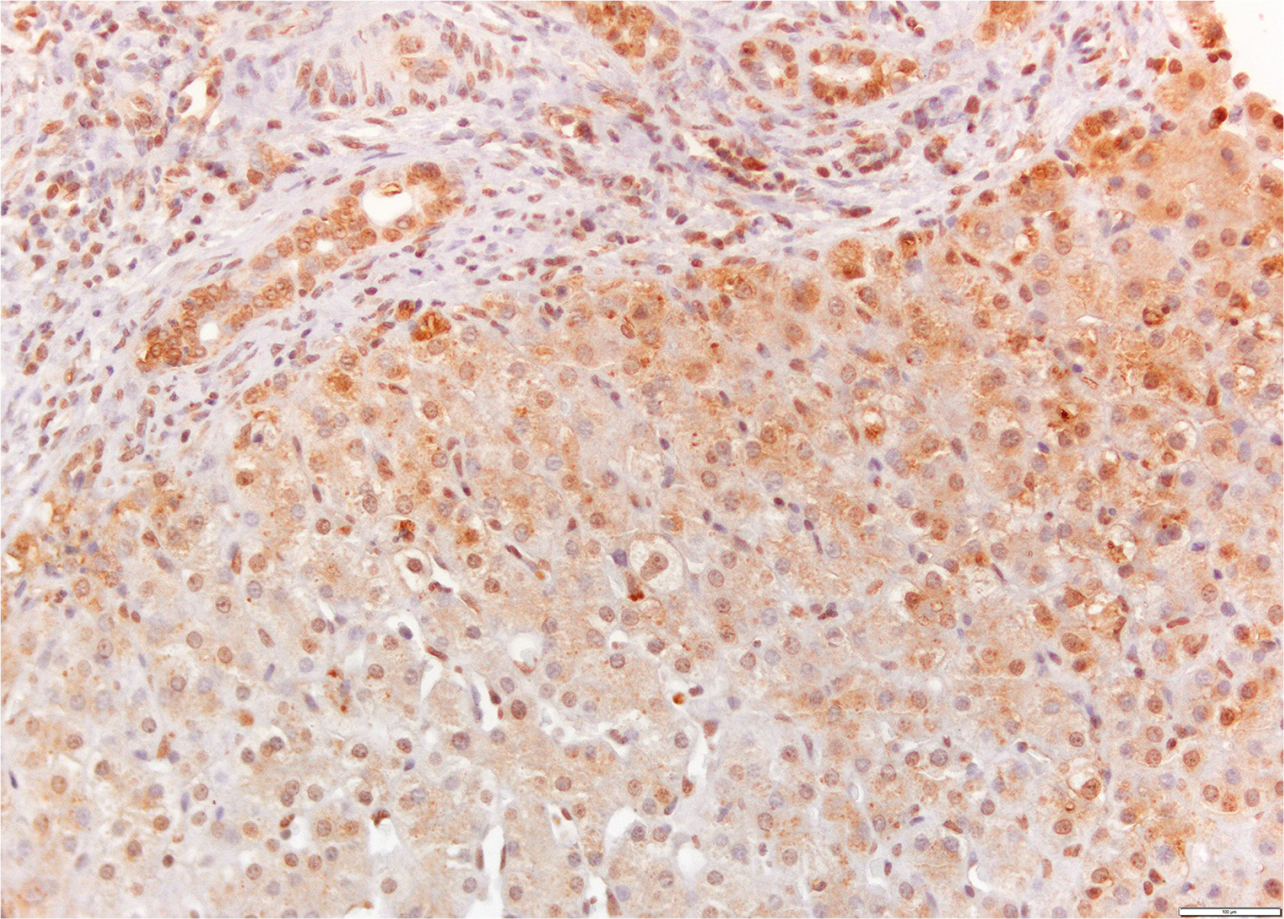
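This is liver tissue, with a broad sheet of hepatocytes below and to the right and a fibrous portal space with small bile ducts across the upper left. The hepatocytes are large polygonal cells with round, centrally placed nuclei and plentiful granular cytoplasm, lined up in plates separated by narrow clear sinusoidal spaces. Their cytoplasm and many of their nuclei take up the brown stain, strongest near the portal area and paler further away. In the portal space, pale fibrous stroma with slender spindle-shaped nuclei surrounds small ducts formed by cuboidal cholangiocytes around round lumens.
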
